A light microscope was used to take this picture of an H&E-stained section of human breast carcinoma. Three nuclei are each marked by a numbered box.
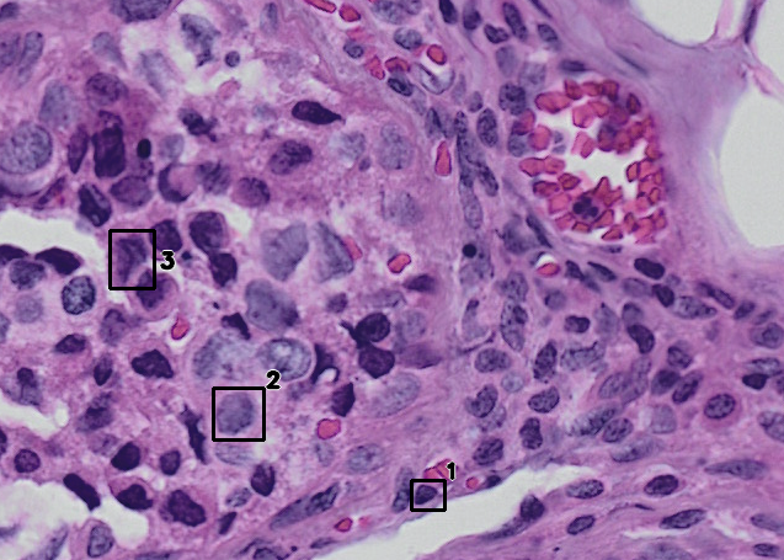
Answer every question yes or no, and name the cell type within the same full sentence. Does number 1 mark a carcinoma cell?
No, it is an endothelial cell that is marked with number 1, not a carcinoma cell.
